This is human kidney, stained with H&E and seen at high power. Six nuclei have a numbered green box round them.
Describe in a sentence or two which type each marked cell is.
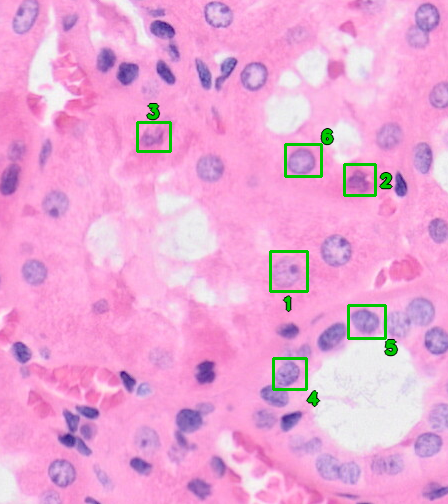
Cells 1, 2, 3 and 6 are proximal tubule cells. Cells 4 and 5 are collecting duct cells.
